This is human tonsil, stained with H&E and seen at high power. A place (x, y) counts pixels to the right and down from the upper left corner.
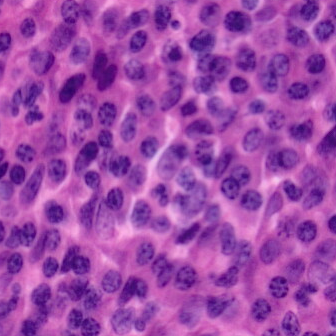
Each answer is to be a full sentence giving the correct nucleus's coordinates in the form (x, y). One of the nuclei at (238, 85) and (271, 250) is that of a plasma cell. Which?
Of the two options, the nucleus at (238, 85) is the one that belongs to a plasma cell.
